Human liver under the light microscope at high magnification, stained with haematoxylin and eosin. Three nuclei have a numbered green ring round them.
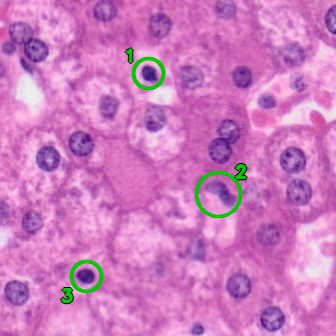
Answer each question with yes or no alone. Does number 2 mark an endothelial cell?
yes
